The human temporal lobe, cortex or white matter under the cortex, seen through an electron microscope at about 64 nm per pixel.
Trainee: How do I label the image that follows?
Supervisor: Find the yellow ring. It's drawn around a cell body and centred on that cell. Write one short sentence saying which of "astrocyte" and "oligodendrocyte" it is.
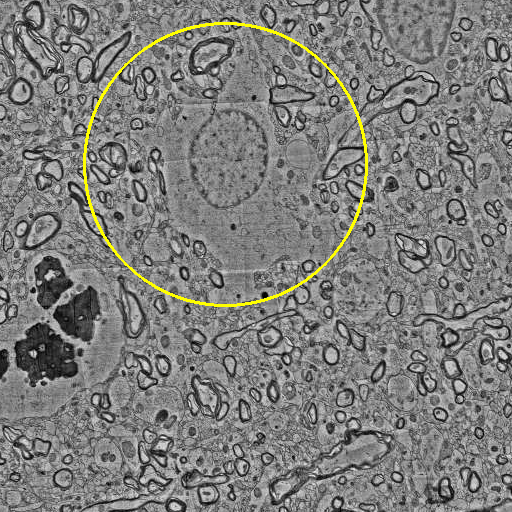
This is the cell body of an astrocyte.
